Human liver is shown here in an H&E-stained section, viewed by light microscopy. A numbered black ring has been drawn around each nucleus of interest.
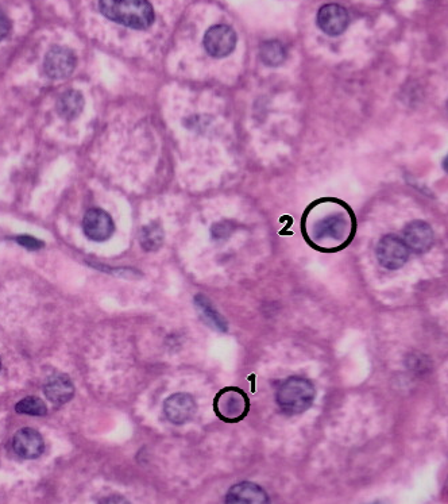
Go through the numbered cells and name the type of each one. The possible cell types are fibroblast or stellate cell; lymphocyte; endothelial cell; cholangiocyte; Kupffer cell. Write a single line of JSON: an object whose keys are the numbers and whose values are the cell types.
{"1": "fibroblast or stellate cell", "2": "endothelial cell"}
